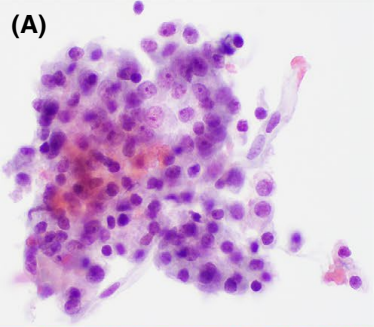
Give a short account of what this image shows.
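The cells look much alike from one to the next, forming a loose, crowded group. Their nuclei are round and dark purple, several with a visible nucleolus. Around each nucleus is a moderate amount of pale, lilac cytoplasm that looks finely granular to bubbly, with small clear vacuoles. Some pinkish material lies among the cells in the middle of the group, and a few single cells have fallen away at the edges.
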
